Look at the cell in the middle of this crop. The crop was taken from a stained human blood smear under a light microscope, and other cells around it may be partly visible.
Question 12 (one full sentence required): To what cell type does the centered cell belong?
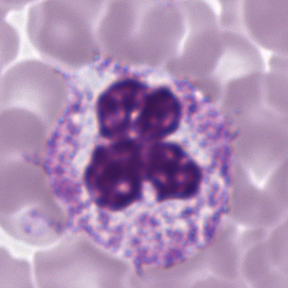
The central cell, amid any neighbouring cells, is a neutrophil.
